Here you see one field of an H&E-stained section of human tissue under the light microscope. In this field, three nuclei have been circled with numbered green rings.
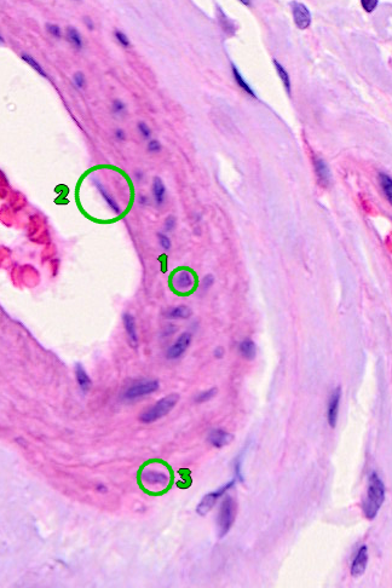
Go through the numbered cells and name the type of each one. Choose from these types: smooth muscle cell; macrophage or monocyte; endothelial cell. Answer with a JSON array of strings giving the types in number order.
["smooth muscle cell", "endothelial cell", "smooth muscle cell"]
